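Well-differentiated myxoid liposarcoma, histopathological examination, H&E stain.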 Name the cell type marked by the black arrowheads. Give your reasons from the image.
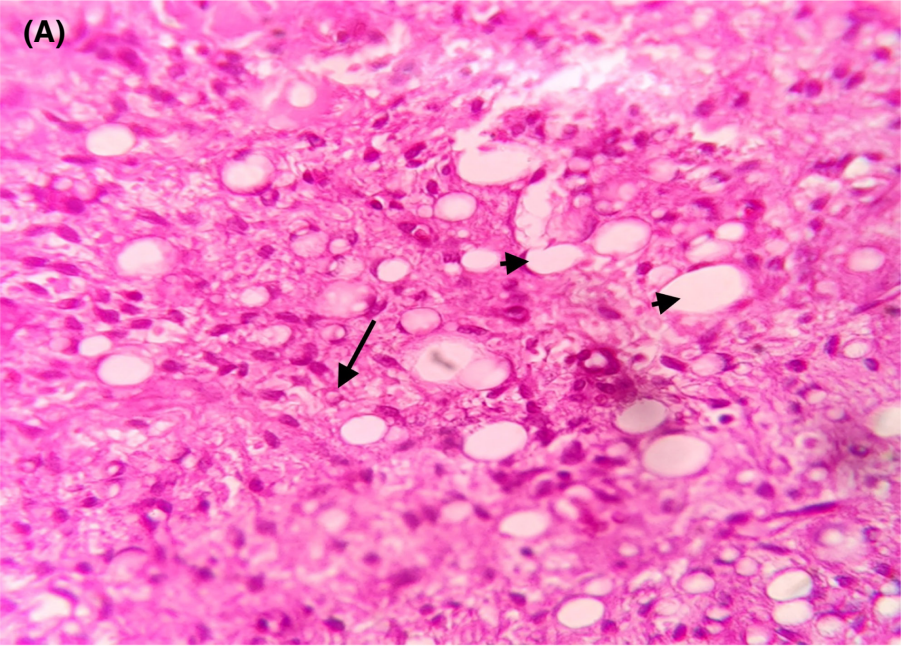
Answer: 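The arrowheads point to large round empty vacuoles. On this evidence: mature adipocytes.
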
